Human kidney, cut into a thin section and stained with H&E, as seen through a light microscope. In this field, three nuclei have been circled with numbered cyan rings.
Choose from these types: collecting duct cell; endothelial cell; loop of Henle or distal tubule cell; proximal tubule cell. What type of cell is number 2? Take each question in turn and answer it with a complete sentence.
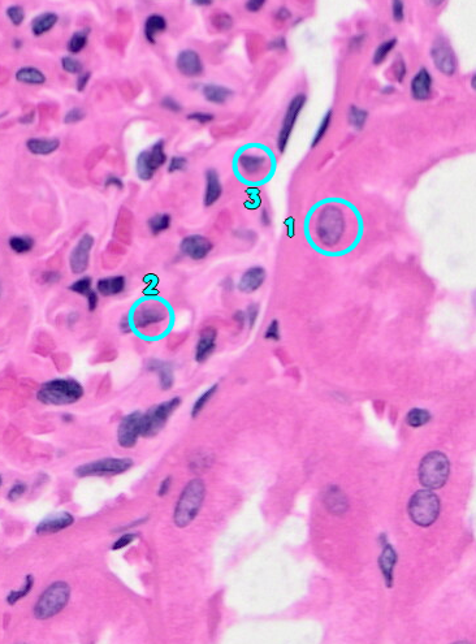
Among the marked nuclei, number 2 belongs to an endothelial cell.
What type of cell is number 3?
The expected answer is that cell 3 is an endothelial cell.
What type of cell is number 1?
The cell given label 1 is a proximal tubule cell.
